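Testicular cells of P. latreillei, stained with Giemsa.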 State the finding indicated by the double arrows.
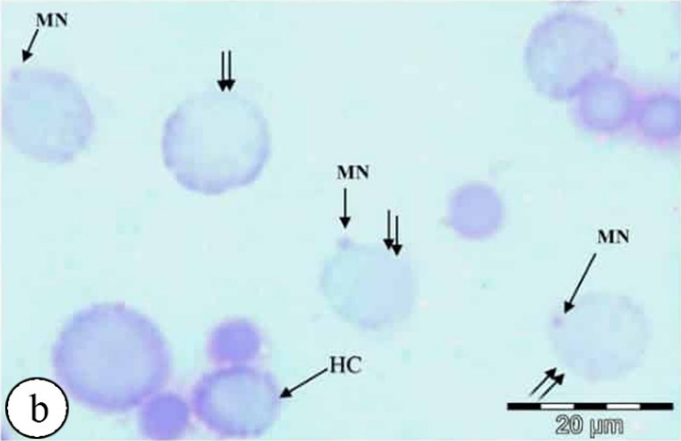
Karyolysis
